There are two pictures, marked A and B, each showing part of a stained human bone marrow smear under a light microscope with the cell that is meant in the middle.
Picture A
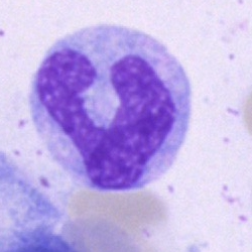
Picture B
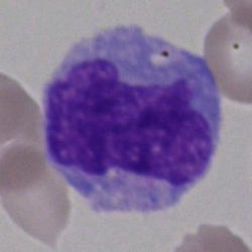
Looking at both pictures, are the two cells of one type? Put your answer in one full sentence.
Yes, they are the same type: both are monocytes.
